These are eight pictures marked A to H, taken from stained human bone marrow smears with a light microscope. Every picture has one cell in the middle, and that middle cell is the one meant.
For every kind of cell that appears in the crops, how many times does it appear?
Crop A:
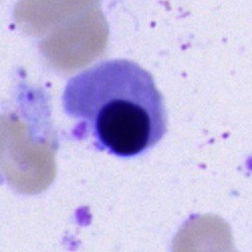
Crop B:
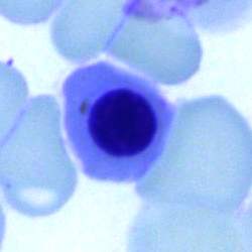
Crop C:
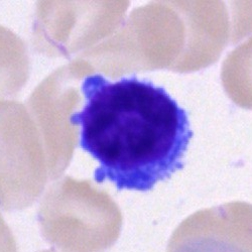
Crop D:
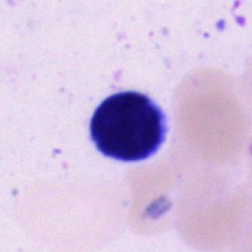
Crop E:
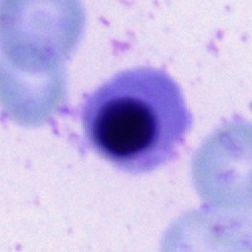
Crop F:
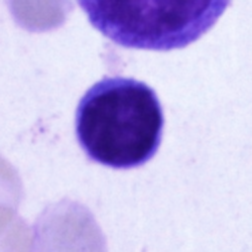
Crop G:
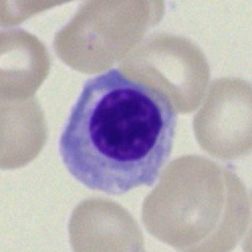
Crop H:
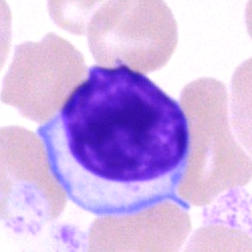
erythroblast: 4
lymphocyte: 4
